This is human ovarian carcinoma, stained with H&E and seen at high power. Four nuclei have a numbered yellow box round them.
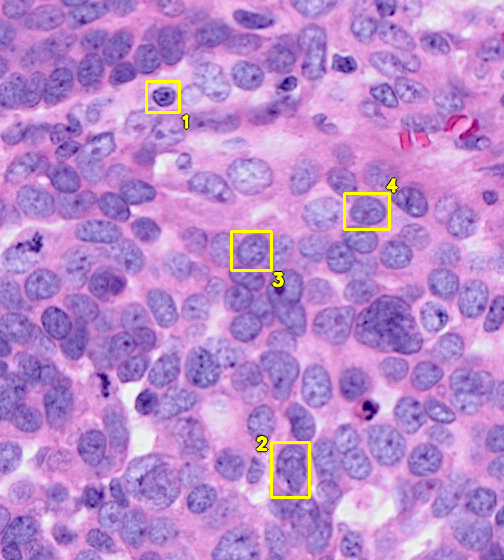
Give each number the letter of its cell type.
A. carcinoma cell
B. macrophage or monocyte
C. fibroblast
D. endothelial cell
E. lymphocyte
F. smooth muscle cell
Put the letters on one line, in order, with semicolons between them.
E; A; A; A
